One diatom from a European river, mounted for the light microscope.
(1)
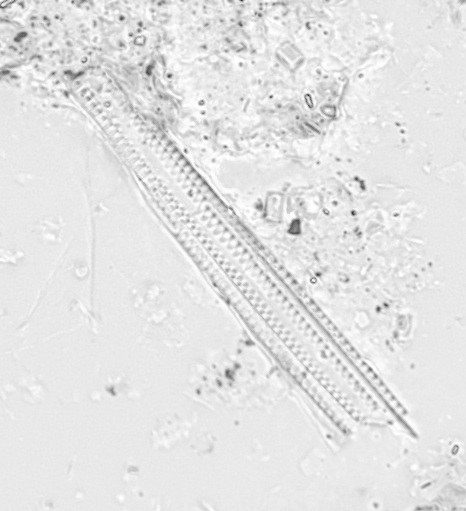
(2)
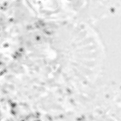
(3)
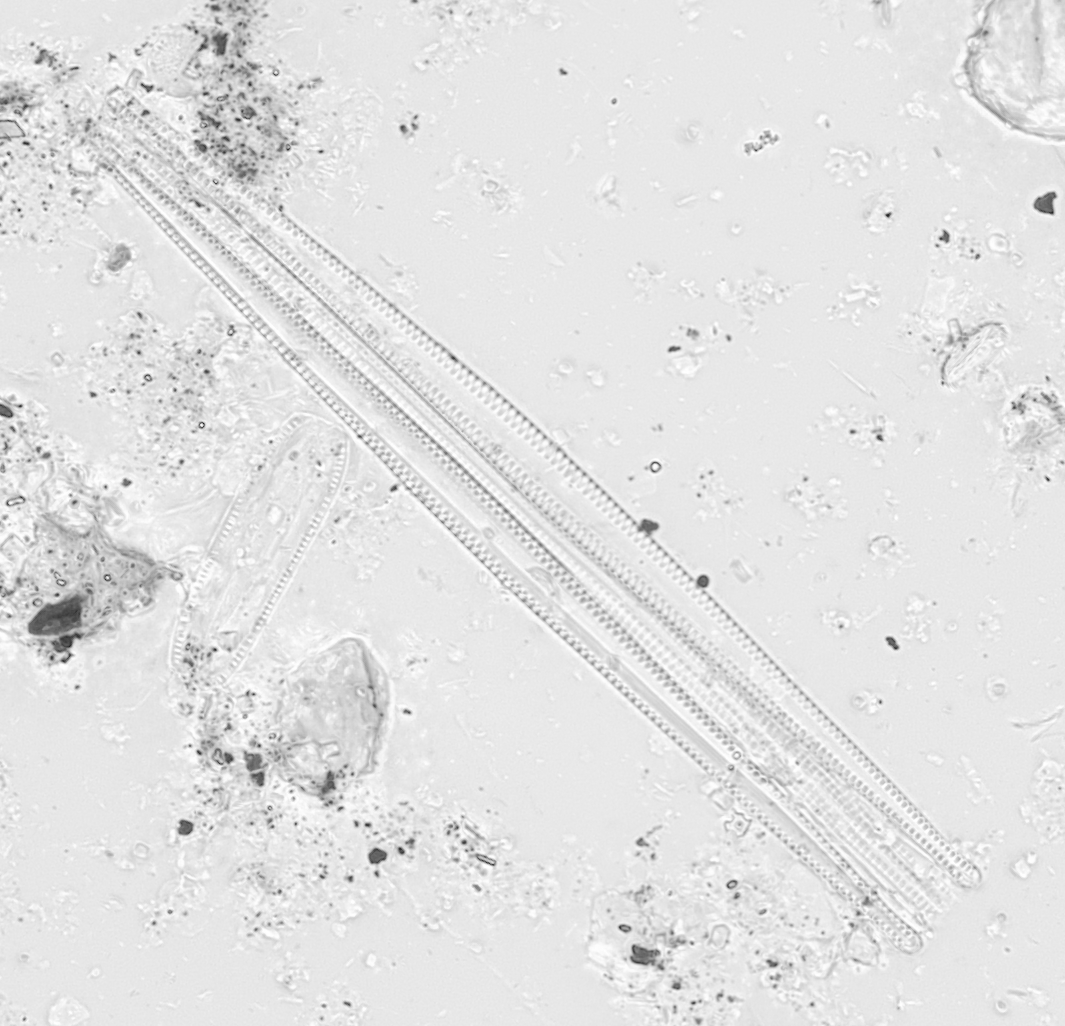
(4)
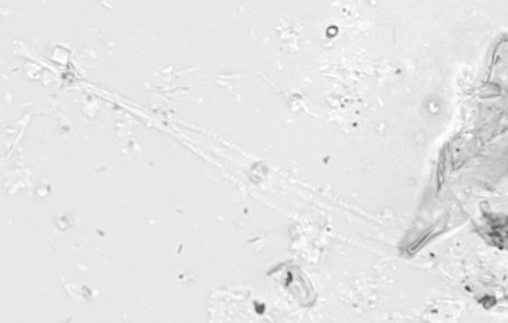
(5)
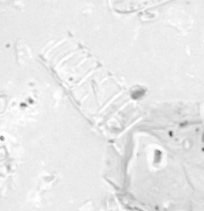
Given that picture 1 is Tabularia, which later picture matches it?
3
